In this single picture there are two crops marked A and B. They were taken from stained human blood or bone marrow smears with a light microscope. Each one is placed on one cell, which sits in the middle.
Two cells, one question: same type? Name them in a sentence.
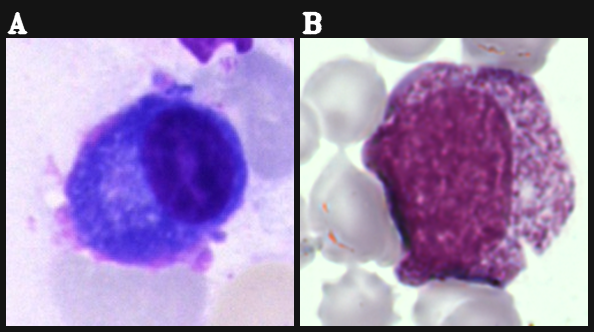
No, crop A contains a plasma cell, whereas crop B contains a promyelocyte.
